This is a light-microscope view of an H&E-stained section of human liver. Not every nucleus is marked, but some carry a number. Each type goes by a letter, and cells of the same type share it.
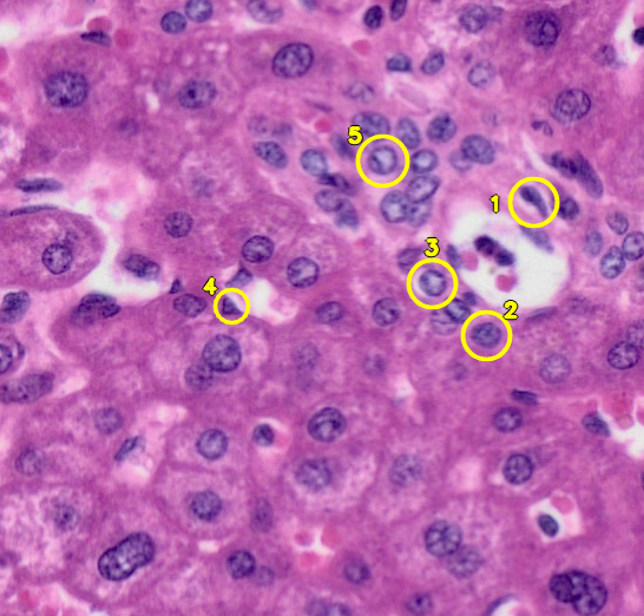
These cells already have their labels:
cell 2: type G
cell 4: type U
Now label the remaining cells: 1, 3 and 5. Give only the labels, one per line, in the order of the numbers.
type U
type G
type G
